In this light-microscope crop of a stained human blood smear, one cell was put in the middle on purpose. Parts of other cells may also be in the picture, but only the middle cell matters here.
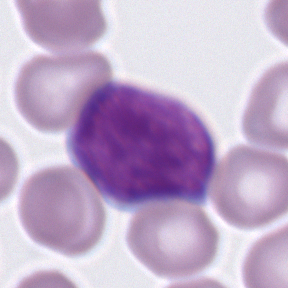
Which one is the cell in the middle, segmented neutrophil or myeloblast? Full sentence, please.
The cell at the middle of the crop is recognized as a myeloblast.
